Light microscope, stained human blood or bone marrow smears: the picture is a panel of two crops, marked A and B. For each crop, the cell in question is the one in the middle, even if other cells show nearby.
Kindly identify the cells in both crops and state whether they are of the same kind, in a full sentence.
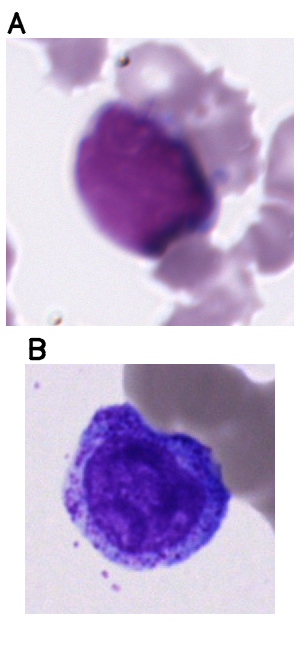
No, the cell in crop A is a blast and the one in crop B is a promyelocyte.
